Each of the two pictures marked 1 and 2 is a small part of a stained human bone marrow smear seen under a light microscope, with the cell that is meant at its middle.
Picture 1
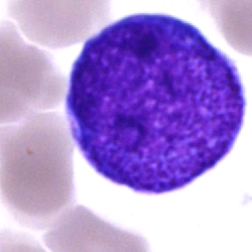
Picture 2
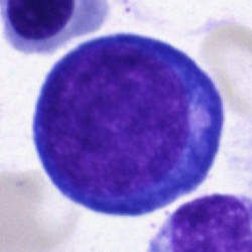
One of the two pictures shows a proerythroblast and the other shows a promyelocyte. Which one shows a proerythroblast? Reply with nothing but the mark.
2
